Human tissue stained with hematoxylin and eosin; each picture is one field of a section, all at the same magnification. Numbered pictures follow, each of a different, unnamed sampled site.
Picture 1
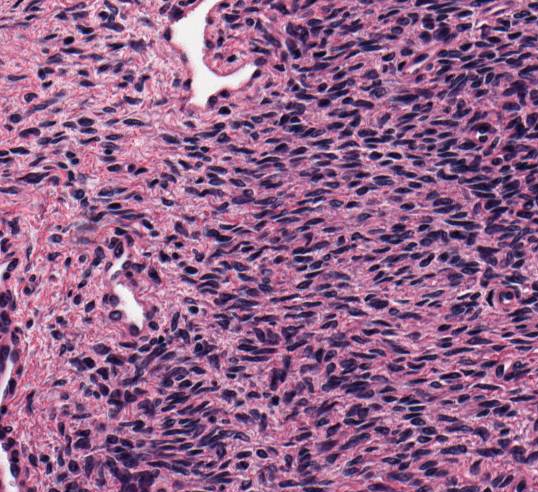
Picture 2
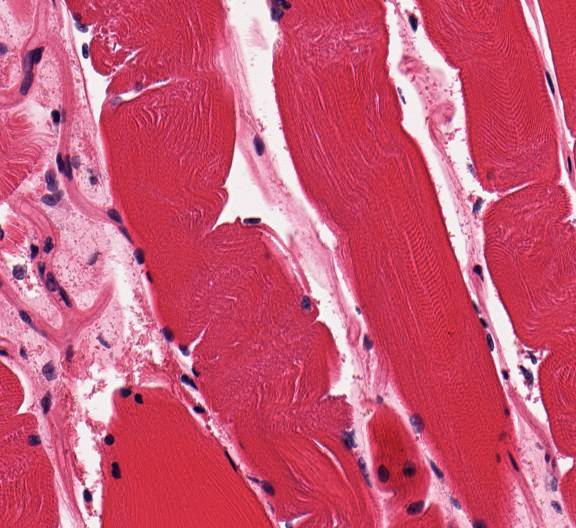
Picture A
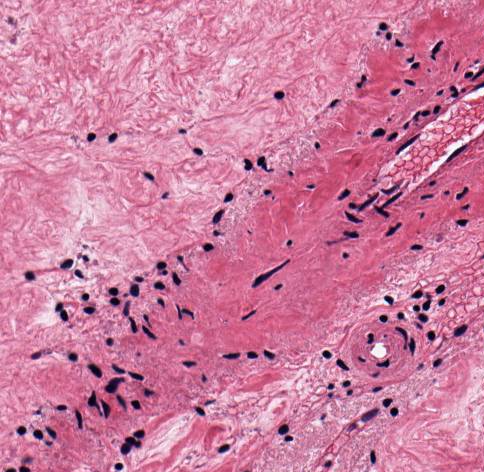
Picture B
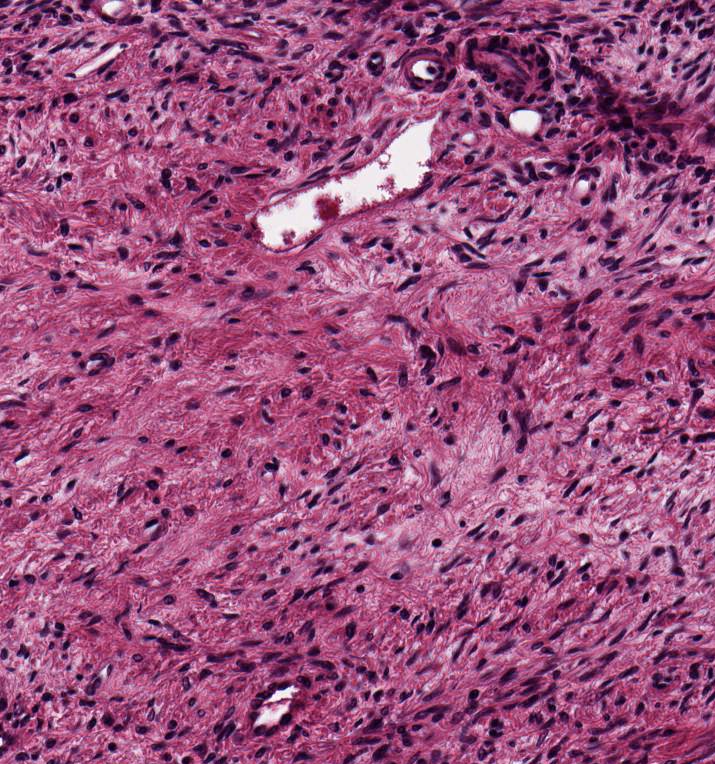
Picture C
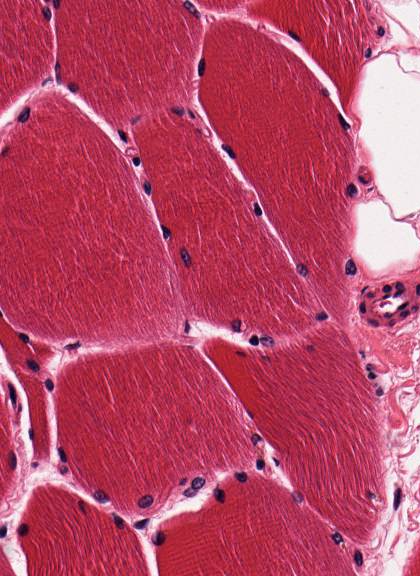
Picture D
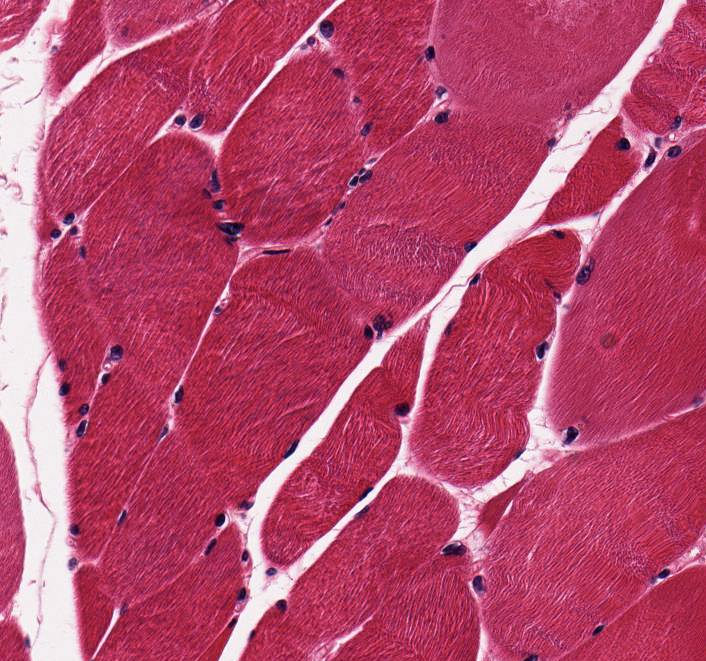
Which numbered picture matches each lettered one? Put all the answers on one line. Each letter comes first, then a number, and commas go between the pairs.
A 1, B 1, C 2, D 2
